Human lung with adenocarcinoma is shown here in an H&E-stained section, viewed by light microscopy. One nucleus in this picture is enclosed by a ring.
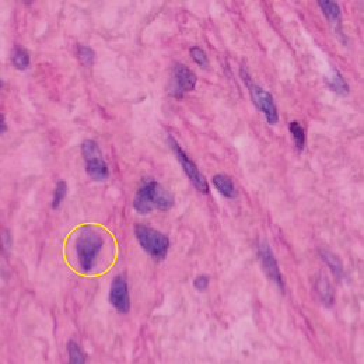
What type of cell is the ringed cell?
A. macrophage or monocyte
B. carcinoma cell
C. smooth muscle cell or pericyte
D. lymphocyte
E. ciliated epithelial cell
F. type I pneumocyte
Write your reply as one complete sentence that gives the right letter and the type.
Here the correct option is C, since the ringed cell is a smooth muscle cell or pericyte.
